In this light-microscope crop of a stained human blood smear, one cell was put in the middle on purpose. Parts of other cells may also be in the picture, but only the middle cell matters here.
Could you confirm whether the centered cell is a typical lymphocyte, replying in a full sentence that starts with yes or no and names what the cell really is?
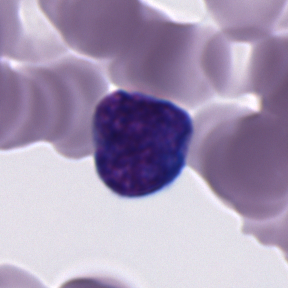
Yes, this crop has a typical lymphocyte at its centre.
